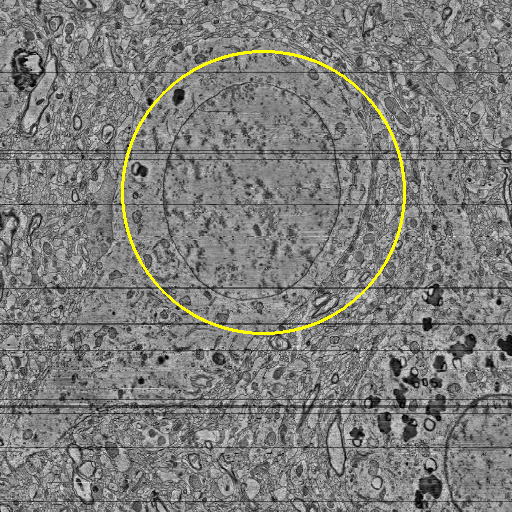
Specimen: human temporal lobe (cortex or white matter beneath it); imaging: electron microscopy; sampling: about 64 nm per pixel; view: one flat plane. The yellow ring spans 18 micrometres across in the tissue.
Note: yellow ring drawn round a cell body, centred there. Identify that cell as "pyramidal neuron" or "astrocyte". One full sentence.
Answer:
The cell in the middle of the ring is a pyramidal neuron.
